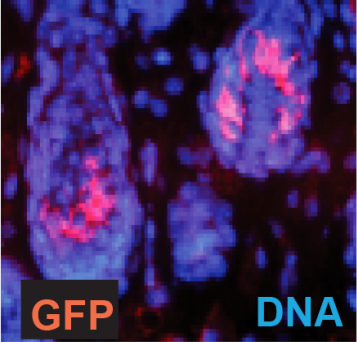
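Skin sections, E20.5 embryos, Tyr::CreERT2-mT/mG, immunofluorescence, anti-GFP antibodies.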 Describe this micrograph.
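The red cells sit among the crowded follicle cells rather than forming a layer of their own. Around the follicles the tissue is looser, with fewer, more scattered nuclei.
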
